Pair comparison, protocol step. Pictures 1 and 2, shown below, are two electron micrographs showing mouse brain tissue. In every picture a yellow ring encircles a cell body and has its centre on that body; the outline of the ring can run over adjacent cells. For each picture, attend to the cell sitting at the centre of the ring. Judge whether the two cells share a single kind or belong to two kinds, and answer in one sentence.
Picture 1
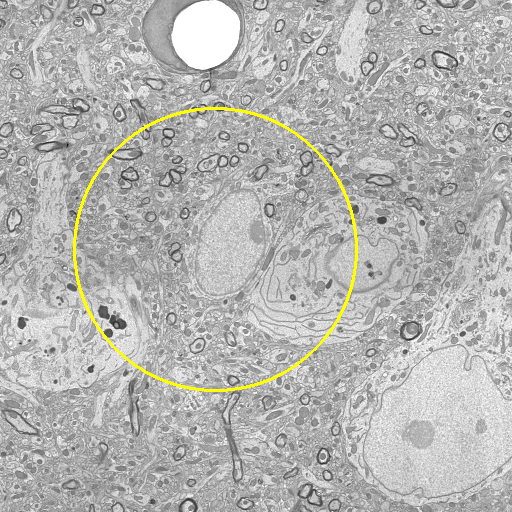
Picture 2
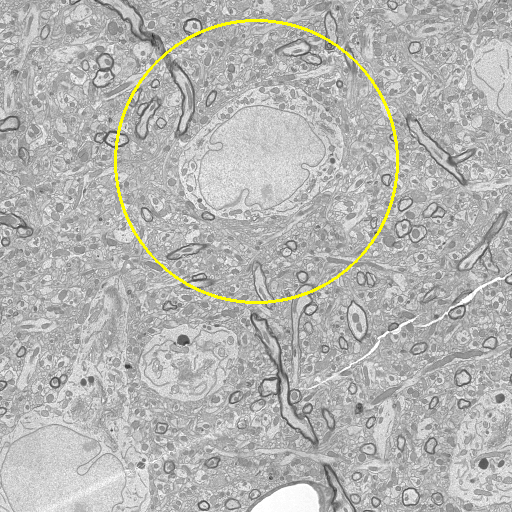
The two cells at the ring centres in Picture 1 and Picture 2 belong to two kinds.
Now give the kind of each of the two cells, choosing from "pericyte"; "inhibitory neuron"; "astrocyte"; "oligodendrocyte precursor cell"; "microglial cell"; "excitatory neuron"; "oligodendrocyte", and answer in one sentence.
The cell in the first picture is an astrocyte, and the cell in the second is an inhibitory neuron.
